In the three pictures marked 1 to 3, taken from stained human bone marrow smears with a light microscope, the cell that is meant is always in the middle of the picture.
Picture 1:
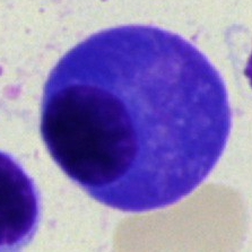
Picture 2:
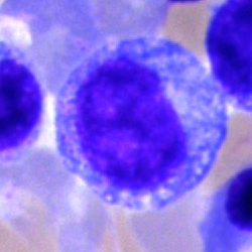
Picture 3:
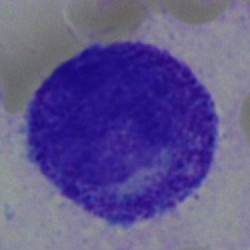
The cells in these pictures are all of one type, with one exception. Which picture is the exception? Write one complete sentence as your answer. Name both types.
Unlike the rest, which show promyelocytes, picture 1 shows a plasma cell.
